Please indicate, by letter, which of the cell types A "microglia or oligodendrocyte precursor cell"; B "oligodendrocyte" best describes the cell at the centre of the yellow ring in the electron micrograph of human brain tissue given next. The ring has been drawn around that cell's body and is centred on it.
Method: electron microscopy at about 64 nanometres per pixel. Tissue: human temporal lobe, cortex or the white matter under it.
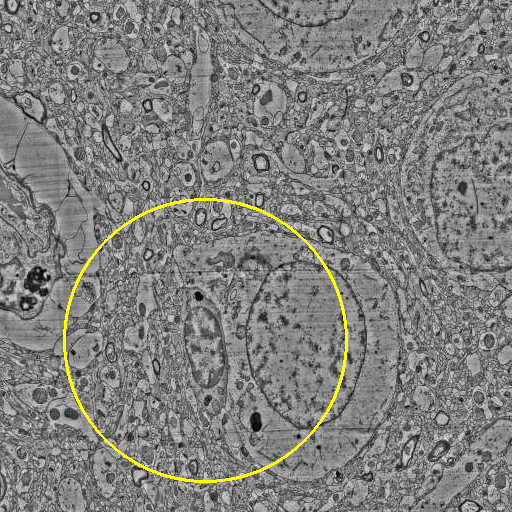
B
